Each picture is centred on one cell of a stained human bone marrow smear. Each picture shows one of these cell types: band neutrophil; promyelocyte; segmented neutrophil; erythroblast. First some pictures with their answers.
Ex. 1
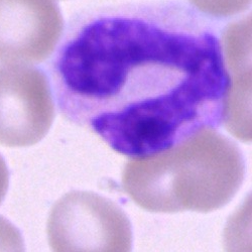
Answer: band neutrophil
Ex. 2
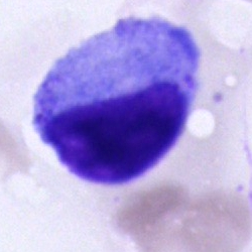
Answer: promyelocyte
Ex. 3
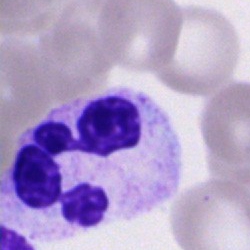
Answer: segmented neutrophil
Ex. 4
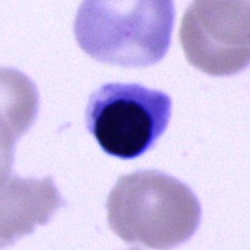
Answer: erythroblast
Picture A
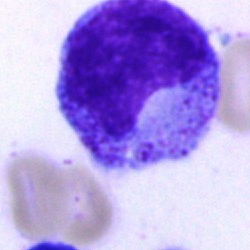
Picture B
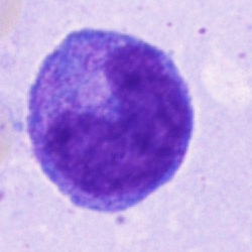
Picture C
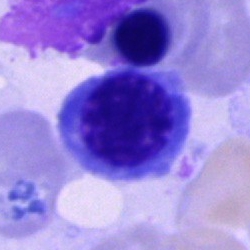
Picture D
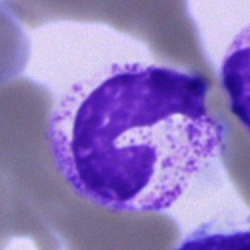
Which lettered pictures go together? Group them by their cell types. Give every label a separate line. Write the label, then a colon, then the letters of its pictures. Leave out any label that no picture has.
band neutrophil: D
promyelocyte: A, B
erythroblast: C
